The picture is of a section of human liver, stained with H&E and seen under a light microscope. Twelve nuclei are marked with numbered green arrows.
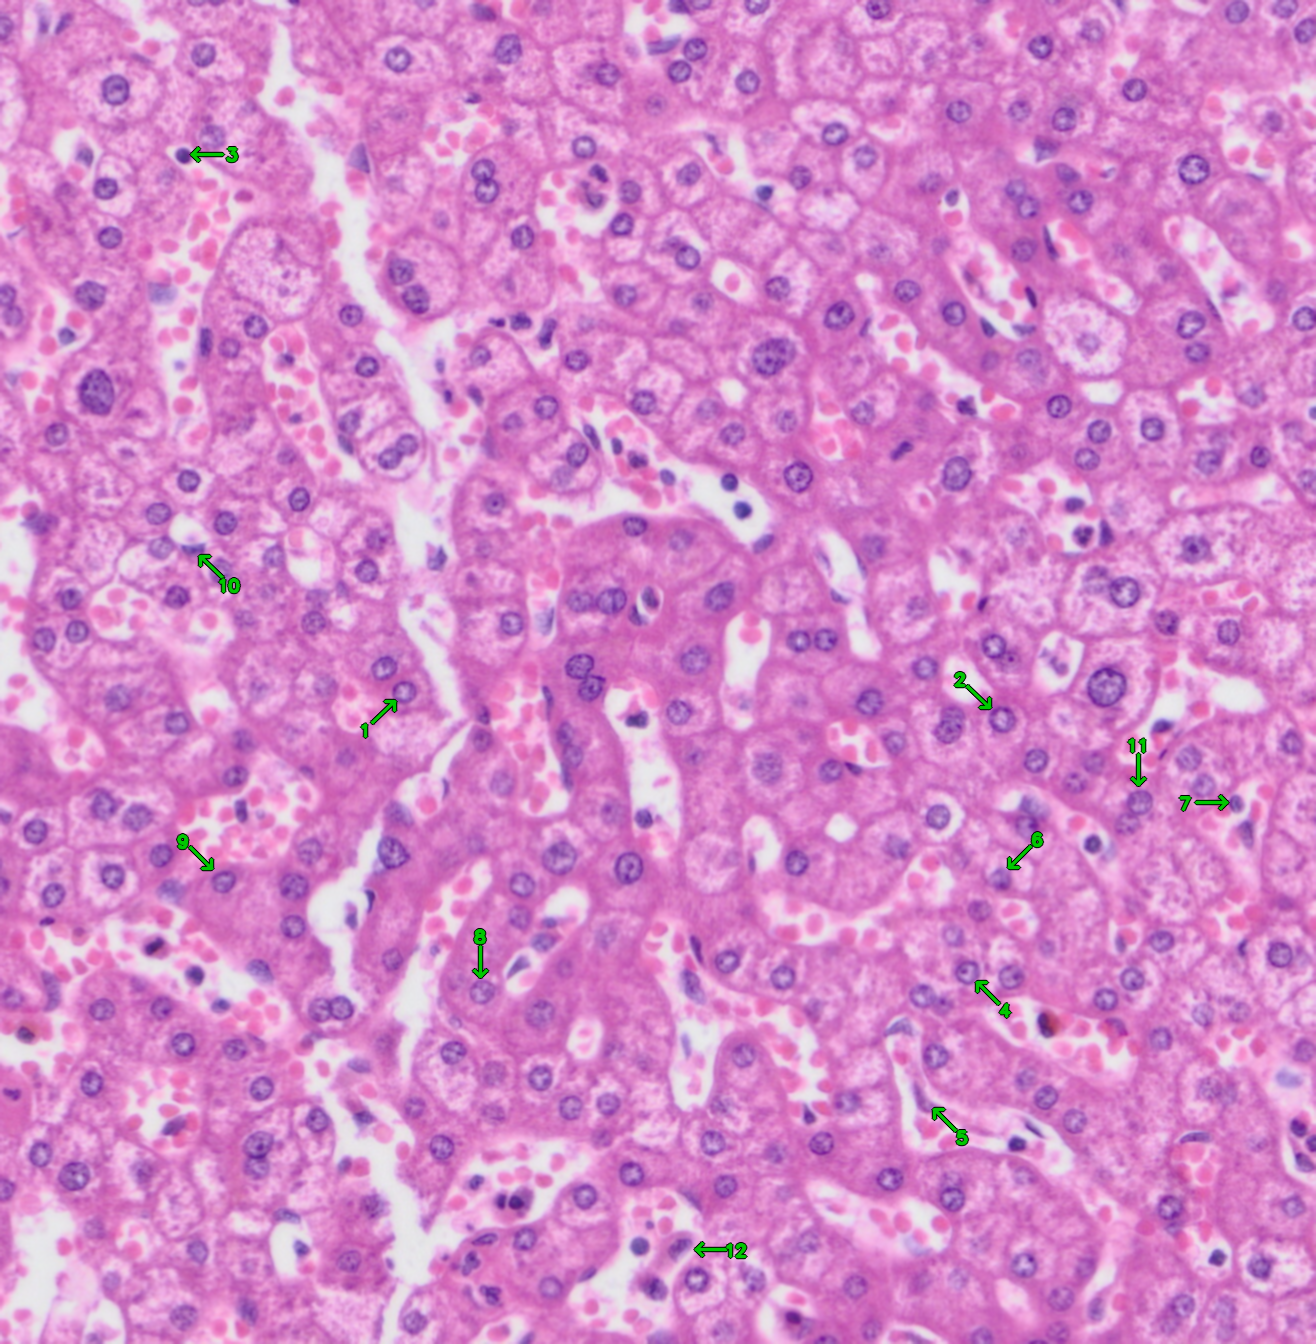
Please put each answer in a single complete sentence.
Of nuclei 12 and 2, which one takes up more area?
The larger nucleus is 2, at roughly 1.5 times the area of 12.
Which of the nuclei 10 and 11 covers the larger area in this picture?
Number 11 is larger; its area is about 2 times that of number 10.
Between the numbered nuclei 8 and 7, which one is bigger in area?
Nucleus 8 covers more area, about 2 times as much as nucleus 7.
